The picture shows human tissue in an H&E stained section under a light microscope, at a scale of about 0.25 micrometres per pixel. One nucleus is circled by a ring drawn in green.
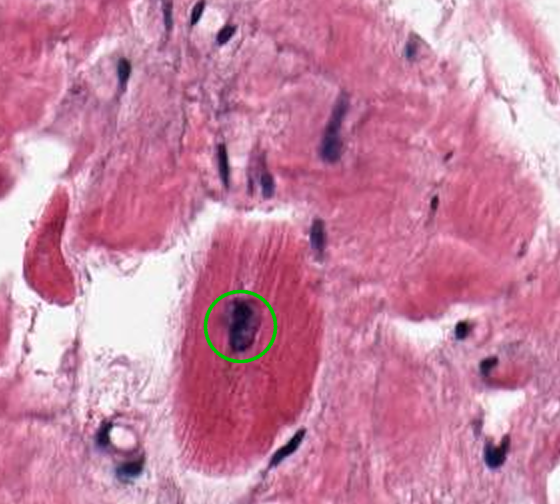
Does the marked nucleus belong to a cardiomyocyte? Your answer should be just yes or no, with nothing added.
yes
